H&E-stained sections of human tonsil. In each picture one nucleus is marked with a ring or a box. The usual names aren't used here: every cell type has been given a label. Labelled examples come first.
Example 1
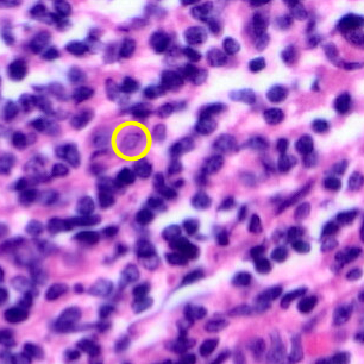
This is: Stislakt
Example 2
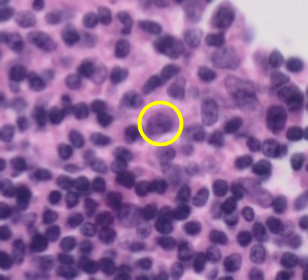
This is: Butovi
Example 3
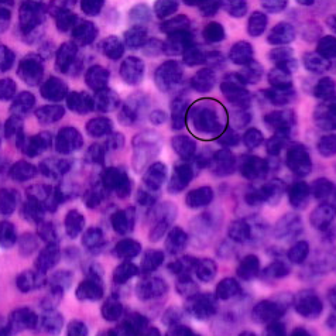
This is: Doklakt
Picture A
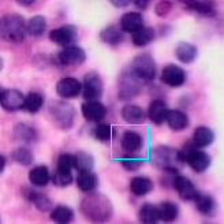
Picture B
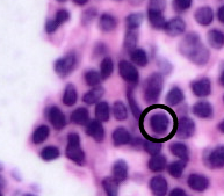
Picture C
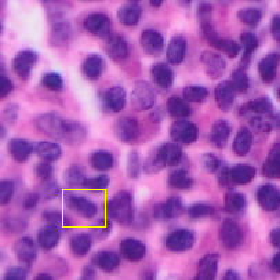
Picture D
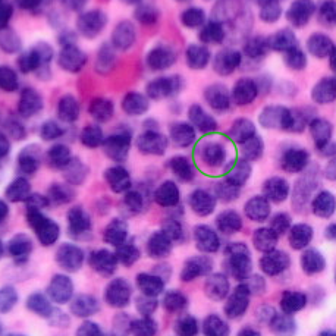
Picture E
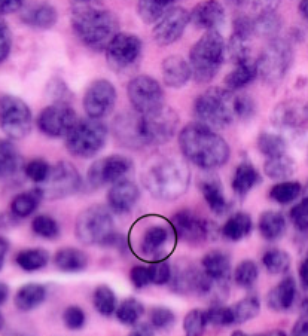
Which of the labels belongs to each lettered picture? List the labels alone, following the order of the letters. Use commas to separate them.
Doklakt, Doklakt, Doklakt, Doklakt, Butovi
